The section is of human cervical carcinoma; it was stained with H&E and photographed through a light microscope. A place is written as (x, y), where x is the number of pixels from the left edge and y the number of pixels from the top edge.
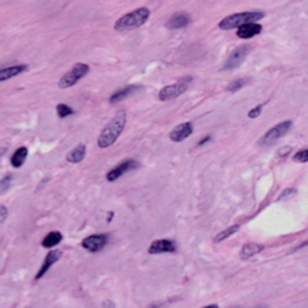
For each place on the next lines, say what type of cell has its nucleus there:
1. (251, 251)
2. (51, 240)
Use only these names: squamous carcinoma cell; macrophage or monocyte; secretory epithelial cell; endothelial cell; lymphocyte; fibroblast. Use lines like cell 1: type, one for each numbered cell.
cell 1: endothelial cell
cell 2: lymphocyte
